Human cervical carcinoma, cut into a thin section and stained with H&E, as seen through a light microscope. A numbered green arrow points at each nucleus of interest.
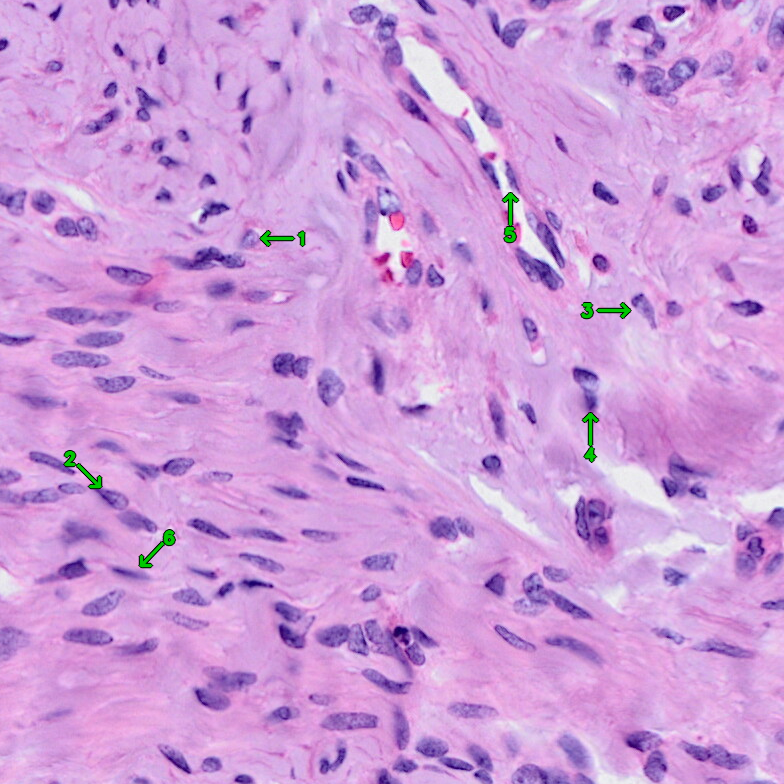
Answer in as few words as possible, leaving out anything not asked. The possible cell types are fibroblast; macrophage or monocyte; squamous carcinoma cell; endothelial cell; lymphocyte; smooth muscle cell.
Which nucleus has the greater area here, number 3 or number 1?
3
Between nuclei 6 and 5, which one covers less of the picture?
5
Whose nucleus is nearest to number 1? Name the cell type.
fibroblast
